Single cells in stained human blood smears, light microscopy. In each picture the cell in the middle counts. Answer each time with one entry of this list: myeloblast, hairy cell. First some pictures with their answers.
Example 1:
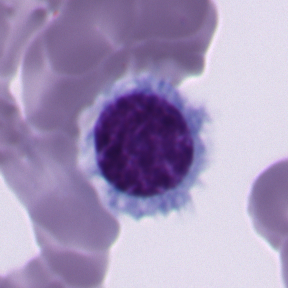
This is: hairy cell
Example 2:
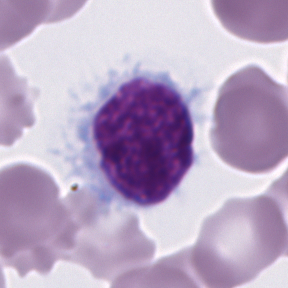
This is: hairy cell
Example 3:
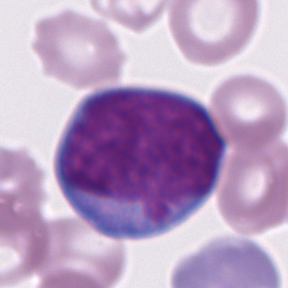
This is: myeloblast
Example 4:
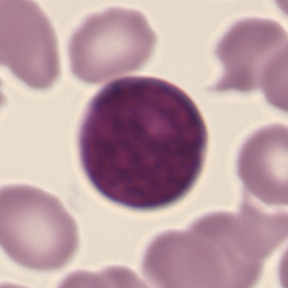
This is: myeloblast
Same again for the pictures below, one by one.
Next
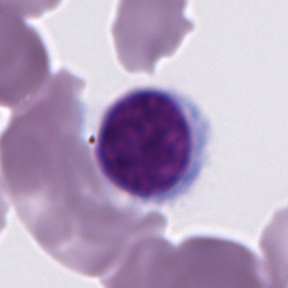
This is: hairy cell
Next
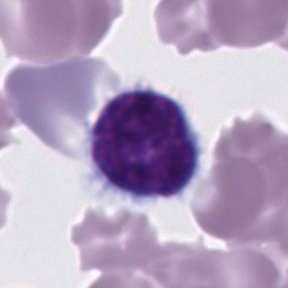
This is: hairy cell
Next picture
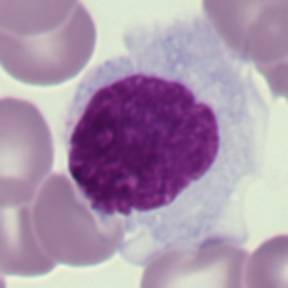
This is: hairy cell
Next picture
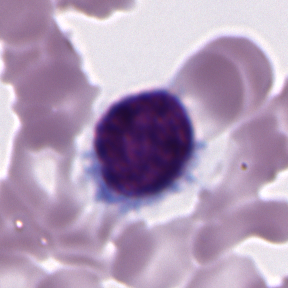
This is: hairy cell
